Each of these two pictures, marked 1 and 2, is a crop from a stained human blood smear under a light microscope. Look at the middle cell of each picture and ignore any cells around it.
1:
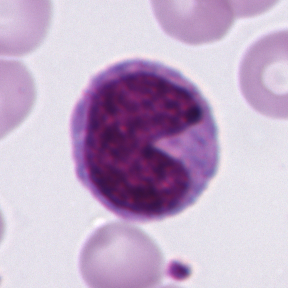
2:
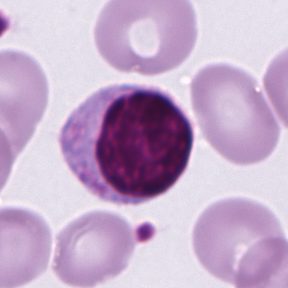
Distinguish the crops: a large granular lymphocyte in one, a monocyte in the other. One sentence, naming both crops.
Crop 1 is labelled a monocyte, and crop 2 is labelled a large granular lymphocyte.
